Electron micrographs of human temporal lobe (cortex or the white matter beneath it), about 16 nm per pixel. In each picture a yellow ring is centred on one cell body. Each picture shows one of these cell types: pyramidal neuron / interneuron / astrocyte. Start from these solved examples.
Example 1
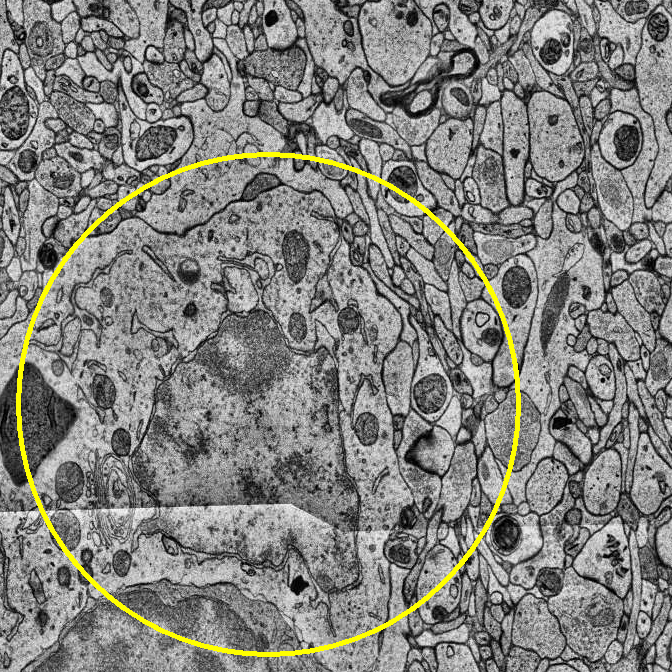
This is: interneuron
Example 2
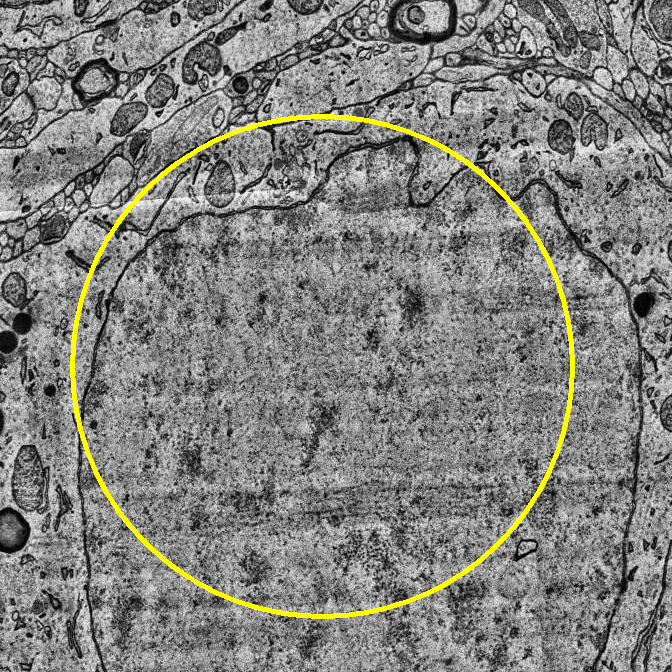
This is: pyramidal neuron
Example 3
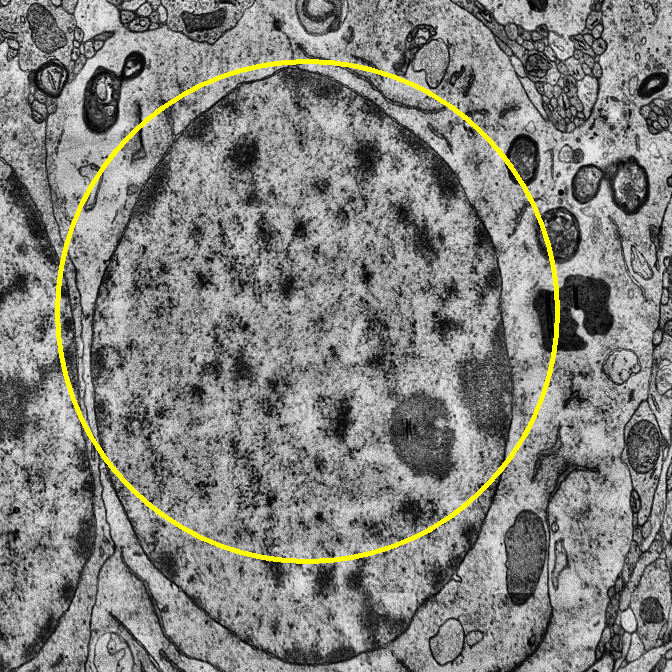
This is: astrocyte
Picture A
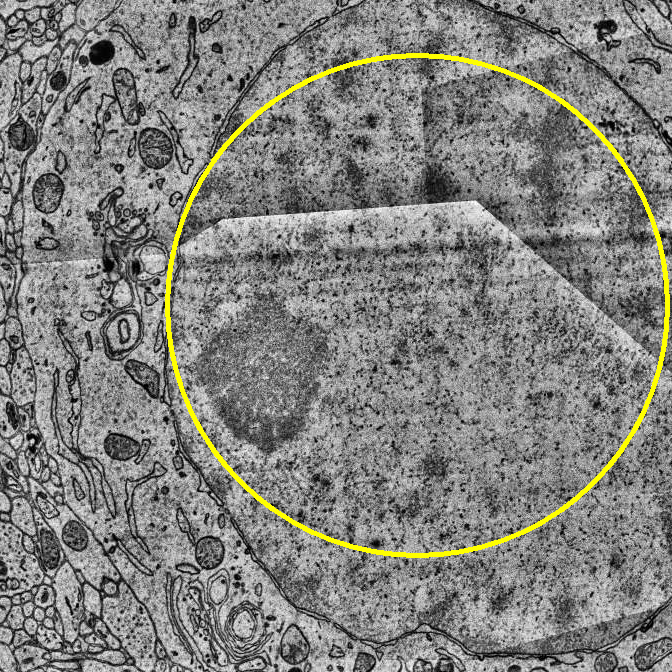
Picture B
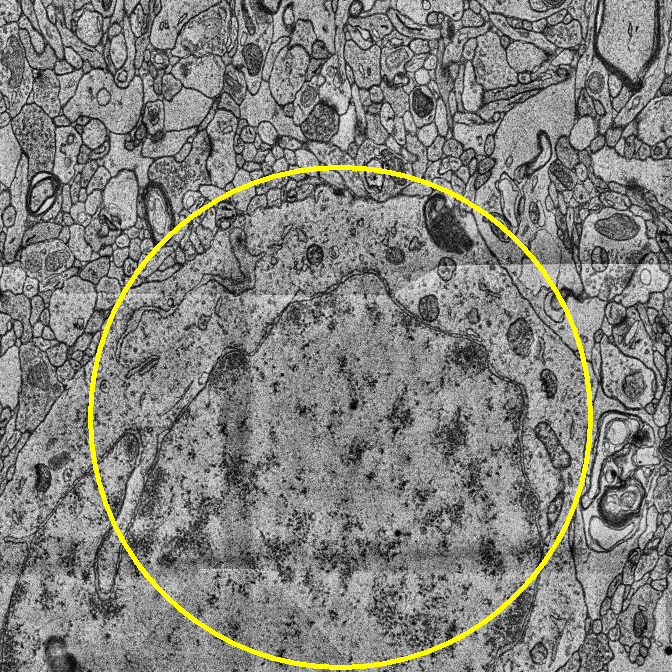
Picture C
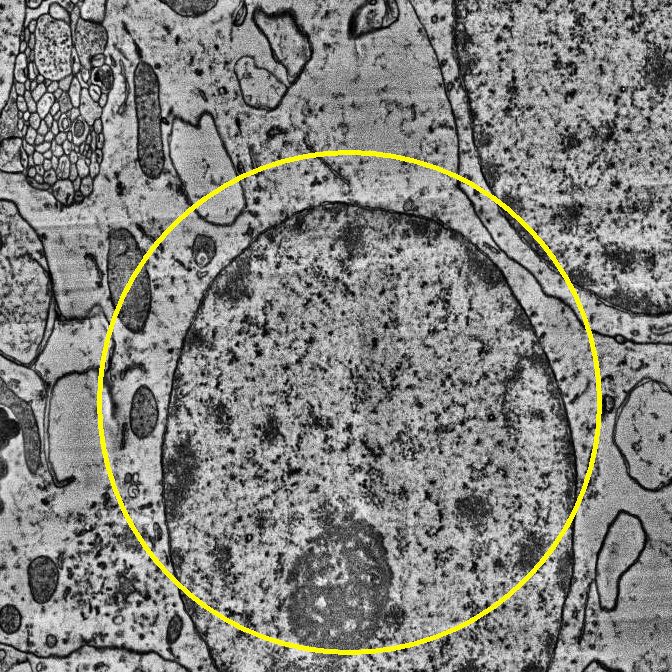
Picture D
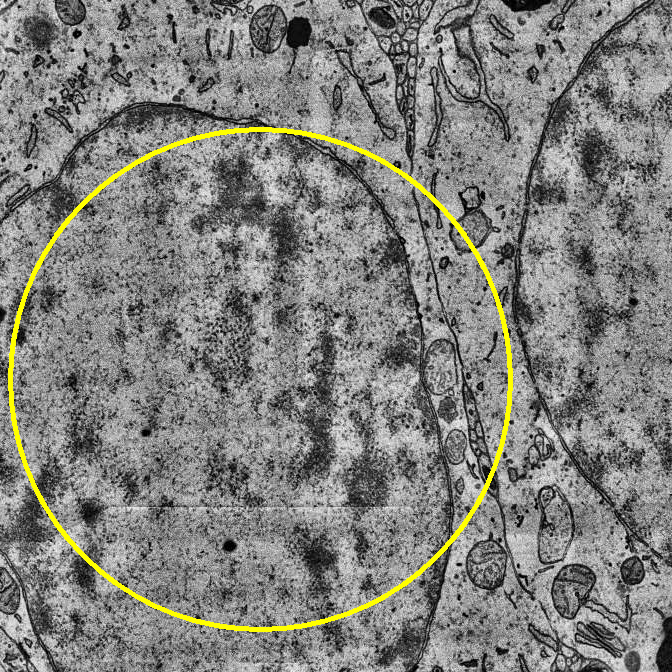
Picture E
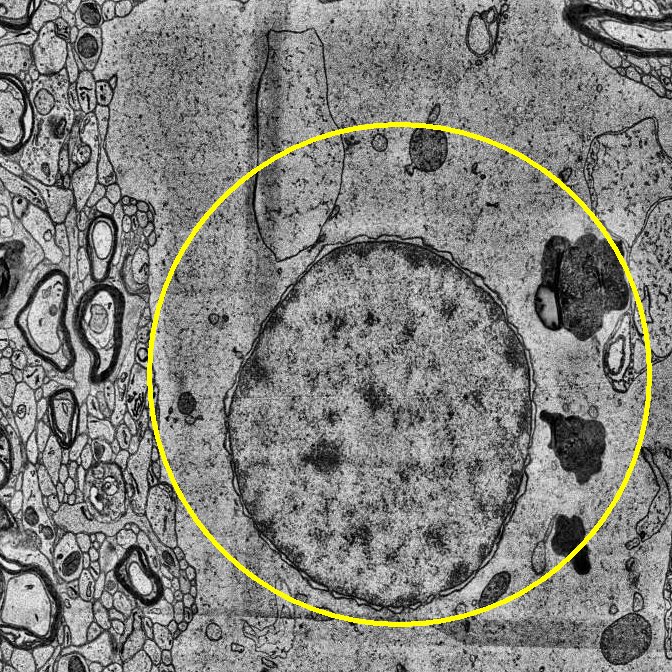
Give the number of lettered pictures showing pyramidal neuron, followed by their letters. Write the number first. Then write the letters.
0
